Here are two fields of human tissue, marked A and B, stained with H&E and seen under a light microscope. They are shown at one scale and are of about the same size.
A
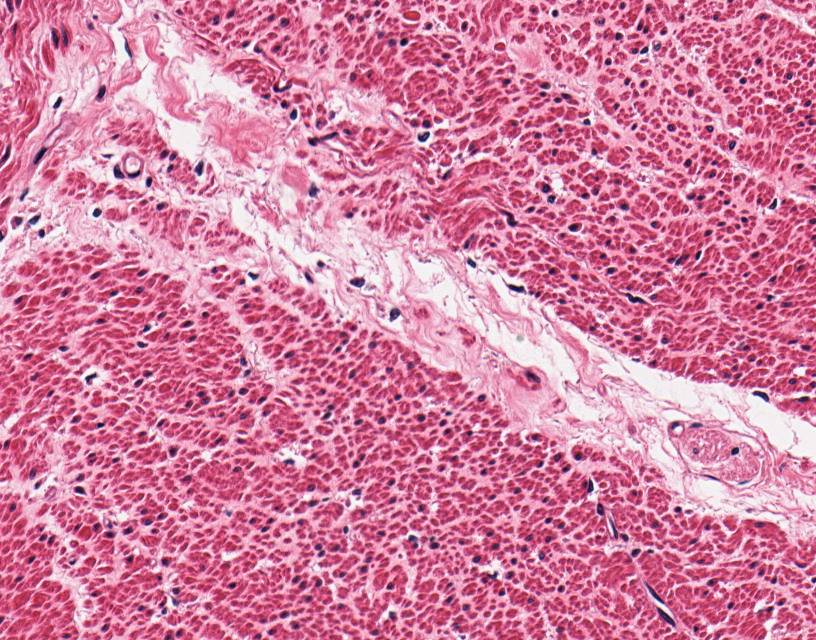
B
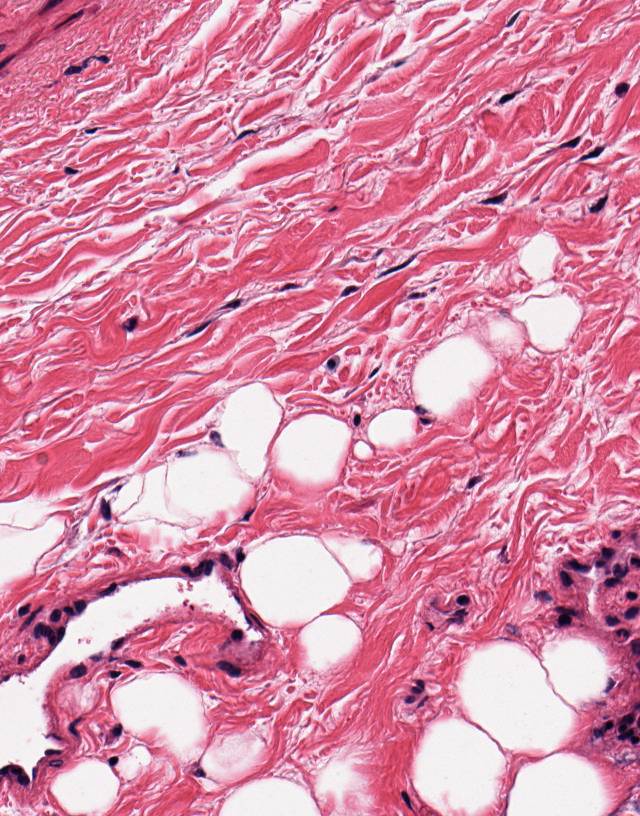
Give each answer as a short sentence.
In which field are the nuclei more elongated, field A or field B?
It is field B whose nuclei are the more elongated.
